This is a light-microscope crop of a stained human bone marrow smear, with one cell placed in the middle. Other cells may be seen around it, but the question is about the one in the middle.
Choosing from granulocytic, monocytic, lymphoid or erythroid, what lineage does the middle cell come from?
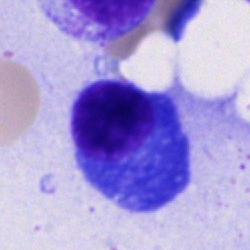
lymphoid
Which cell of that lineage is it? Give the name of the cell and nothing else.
plasma cell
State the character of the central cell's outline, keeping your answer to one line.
Nothing juts out from the margin, which is smooth throughout.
